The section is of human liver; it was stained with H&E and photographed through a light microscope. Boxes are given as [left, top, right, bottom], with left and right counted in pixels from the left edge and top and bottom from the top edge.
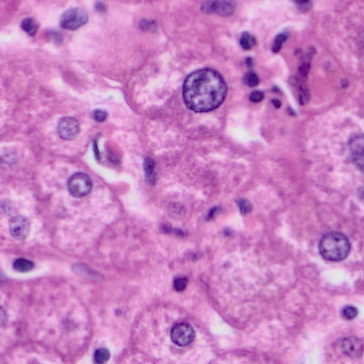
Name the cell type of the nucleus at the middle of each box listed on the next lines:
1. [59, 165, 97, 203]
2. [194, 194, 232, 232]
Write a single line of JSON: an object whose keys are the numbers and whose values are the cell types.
{"1": "hepatocyte", "2": "endothelial cell"}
